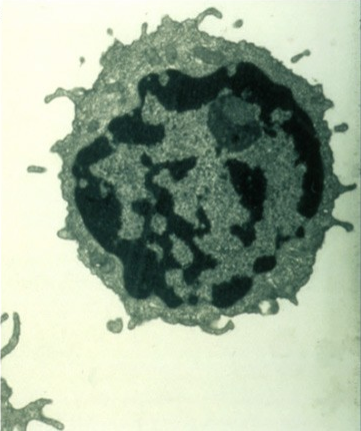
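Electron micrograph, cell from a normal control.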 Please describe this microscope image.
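This is a lymphocyte seen by transmission electron microscopy, a small round cell whose nucleus takes up nearly all of it. The chromatin is gathered into dense dark clumps, many lying against the nuclear envelope, with paler chromatin between them. Only a thin rim of cytoplasm surrounds the nucleus, and it holds no clear vacuoles. The cell surface is covered with many short, finger-like projections.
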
